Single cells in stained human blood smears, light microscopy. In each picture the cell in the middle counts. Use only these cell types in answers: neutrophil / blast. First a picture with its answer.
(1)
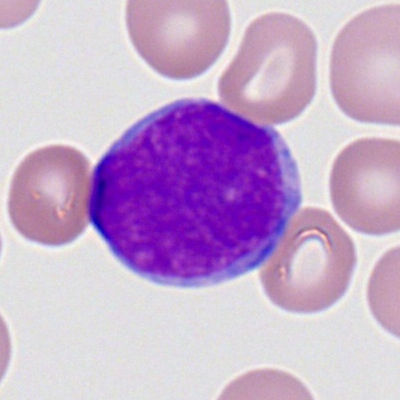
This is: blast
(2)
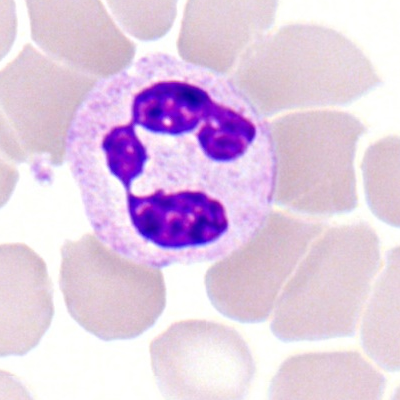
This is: neutrophil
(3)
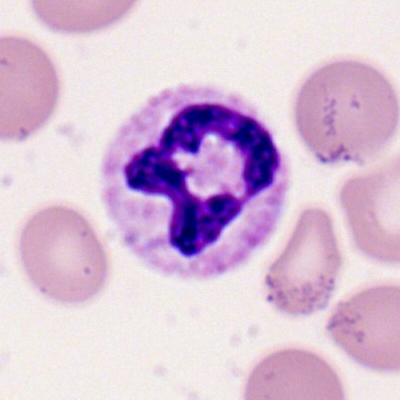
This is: neutrophil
